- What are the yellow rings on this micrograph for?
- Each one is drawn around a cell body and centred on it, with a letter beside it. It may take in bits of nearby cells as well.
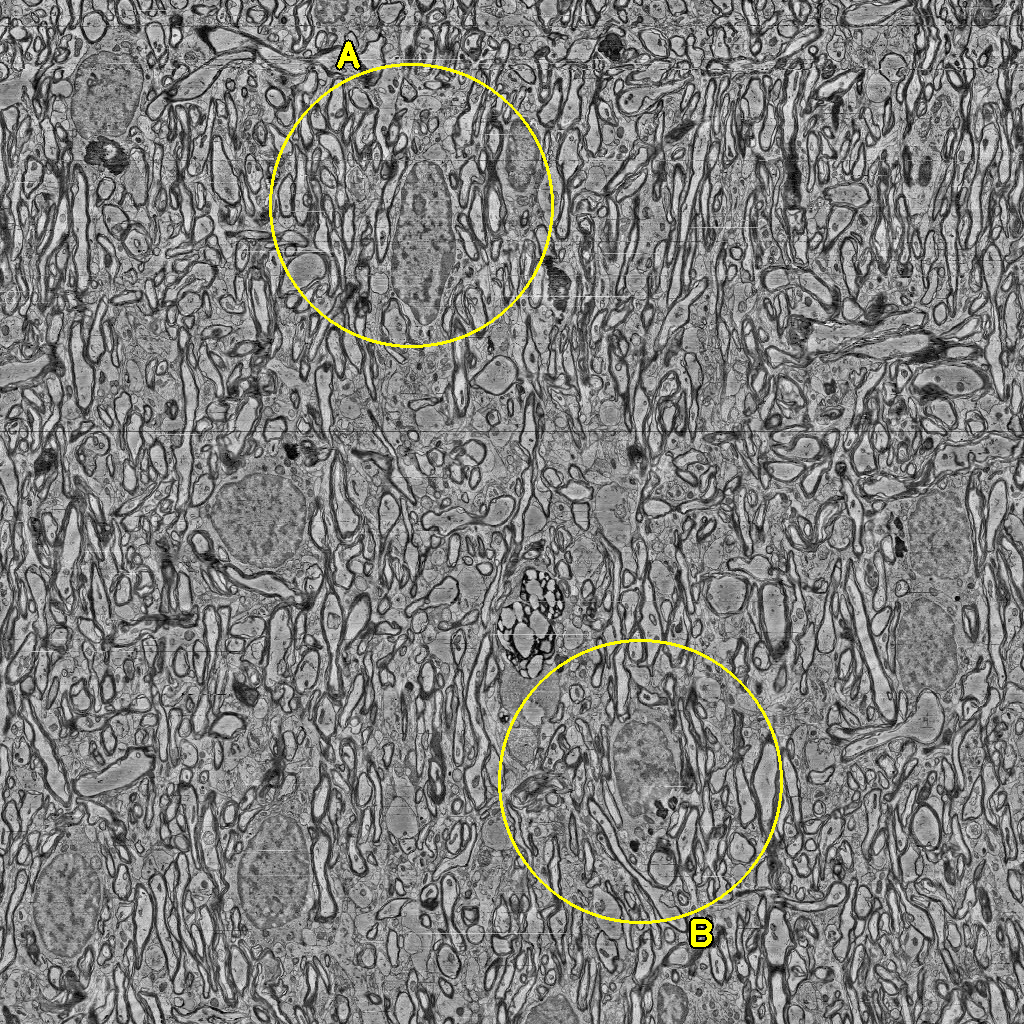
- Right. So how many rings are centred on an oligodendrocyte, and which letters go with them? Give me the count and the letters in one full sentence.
A single ring, lettered B, is centred on an oligodendrocyte in this micrograph.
